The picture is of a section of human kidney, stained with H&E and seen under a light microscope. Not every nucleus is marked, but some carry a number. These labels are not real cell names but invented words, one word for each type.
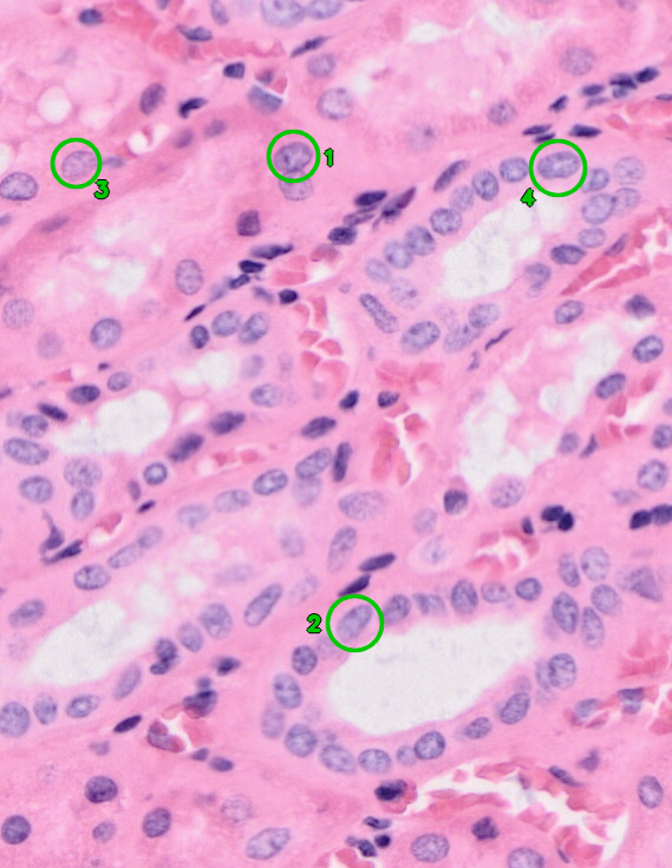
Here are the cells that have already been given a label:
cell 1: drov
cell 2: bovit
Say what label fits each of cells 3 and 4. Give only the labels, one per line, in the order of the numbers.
drov
bovit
